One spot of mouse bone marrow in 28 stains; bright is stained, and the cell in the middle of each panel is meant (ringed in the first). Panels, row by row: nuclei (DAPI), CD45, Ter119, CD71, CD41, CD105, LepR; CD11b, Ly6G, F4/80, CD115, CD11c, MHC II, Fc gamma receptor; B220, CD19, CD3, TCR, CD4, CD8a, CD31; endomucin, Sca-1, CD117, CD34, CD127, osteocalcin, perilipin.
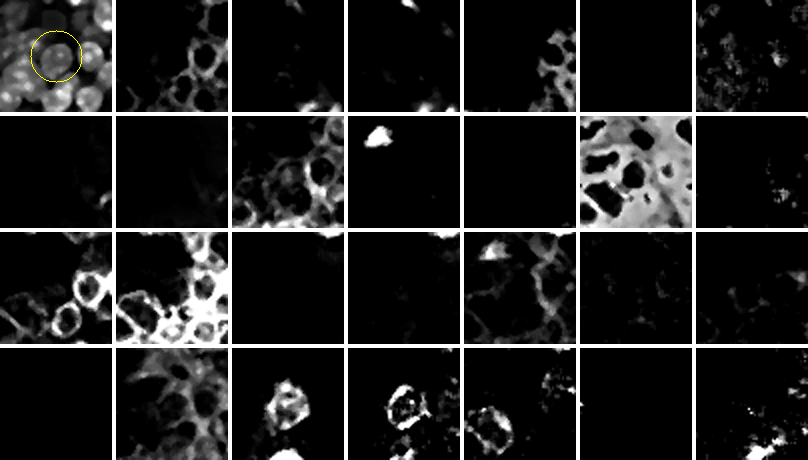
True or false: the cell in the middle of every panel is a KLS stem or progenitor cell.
False; it is a common myeloid progenitor.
